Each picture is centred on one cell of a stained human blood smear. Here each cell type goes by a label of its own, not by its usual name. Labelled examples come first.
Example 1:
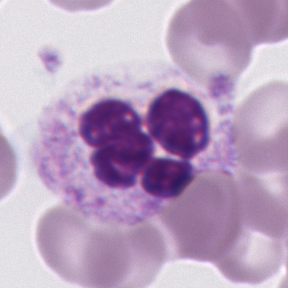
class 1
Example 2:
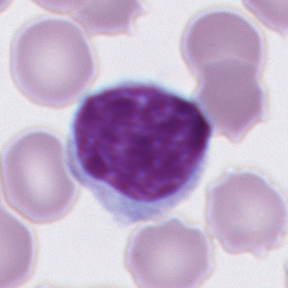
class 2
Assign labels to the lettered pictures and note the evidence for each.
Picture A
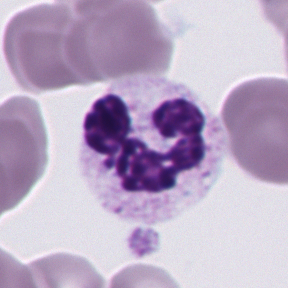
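class 1. Reason: The cytoplasm is plentiful and pale pinkish-lilac.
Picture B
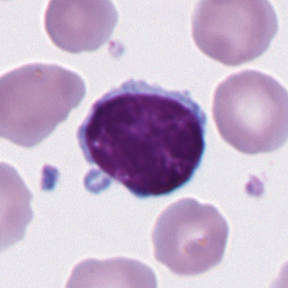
class 2. Reason: The cytoplasm forms only a narrow pale blue rim around the nucleus.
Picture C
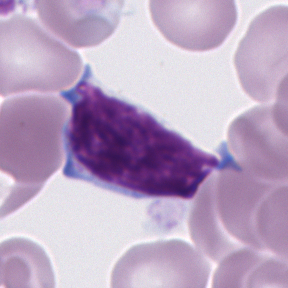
class 2. Reason: The cytoplasm is scant, forming only a thin rim beside the nucleus.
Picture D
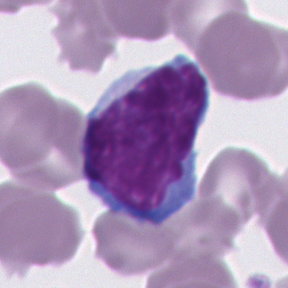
class 2. Reason: The cytoplasm forms only a thin rim around the nucleus.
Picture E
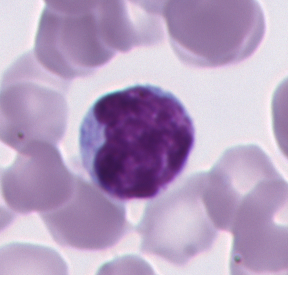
class 2. Reason: The cytoplasm forms a thin rim that is widest on the left side.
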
